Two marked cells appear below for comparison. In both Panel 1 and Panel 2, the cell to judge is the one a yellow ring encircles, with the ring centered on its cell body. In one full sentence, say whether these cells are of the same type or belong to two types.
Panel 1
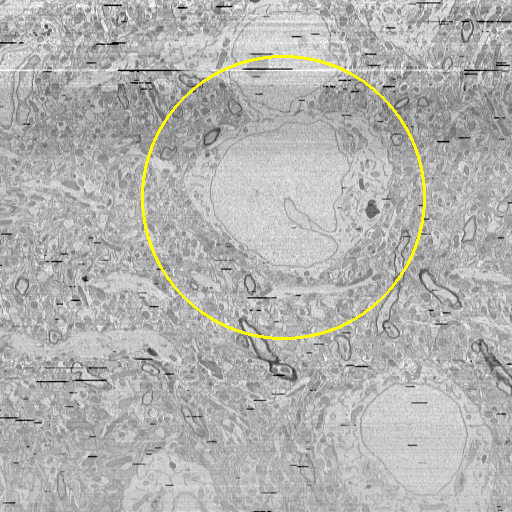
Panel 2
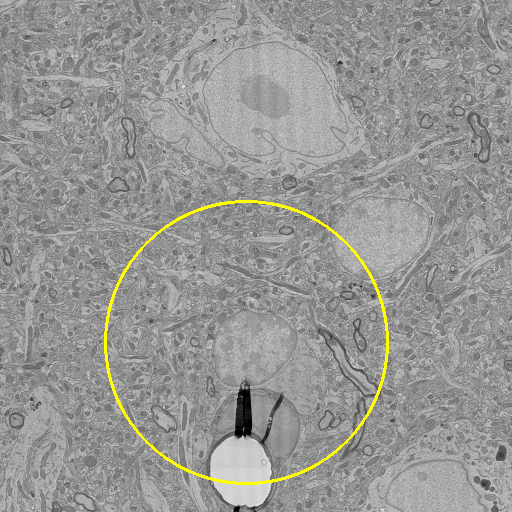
The cell centered in the Panel 1 ring and the one in Panel 2 belong to two types.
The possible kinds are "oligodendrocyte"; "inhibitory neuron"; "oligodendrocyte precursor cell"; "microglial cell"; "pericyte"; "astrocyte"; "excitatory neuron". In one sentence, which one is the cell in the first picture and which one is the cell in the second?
The cell ringed in the second picture is an oligodendrocyte, whereas the one ringed in the first is an excitatory neuron.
